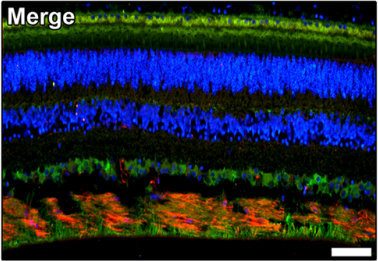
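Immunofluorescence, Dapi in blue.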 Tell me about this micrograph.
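A cross-section of the retina shows its stacked layers, with blue nuclei packed into a thick outer nuclear layer, a thinner inner nuclear layer and a sparse row of cell bodies in the ganglion cell layer. Green outlines cell bodies in the ganglion cell layer, while beneath them the innermost nerve fiber layer holds red elongated fibres mixed with orange-yellow.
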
